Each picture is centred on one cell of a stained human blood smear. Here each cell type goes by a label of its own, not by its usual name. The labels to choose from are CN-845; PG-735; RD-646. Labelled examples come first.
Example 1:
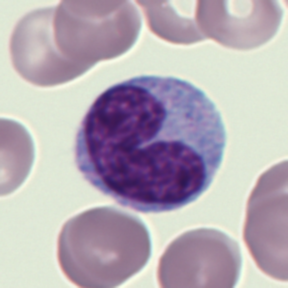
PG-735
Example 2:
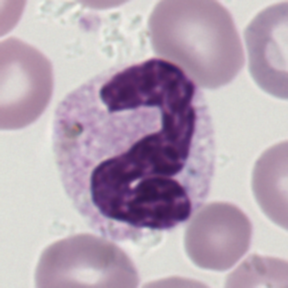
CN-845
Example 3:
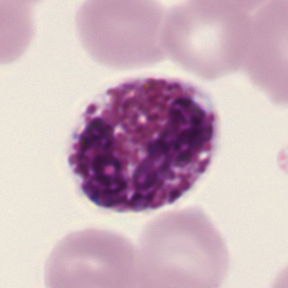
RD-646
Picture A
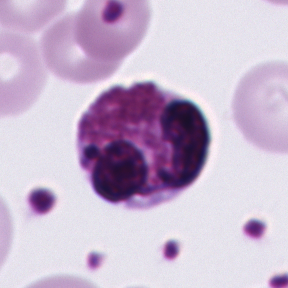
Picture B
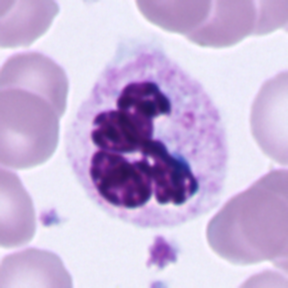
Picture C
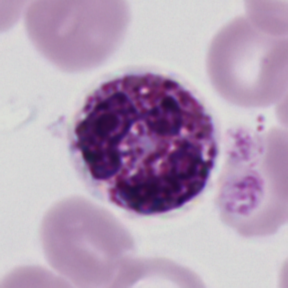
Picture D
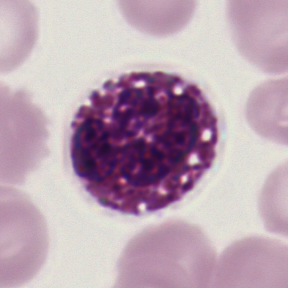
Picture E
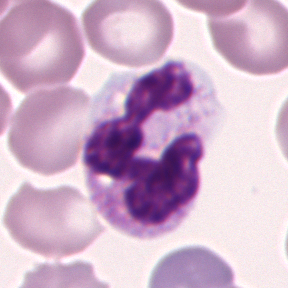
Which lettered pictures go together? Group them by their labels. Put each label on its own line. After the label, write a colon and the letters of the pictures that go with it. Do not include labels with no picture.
CN-845: B, E
RD-646: A, C, D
